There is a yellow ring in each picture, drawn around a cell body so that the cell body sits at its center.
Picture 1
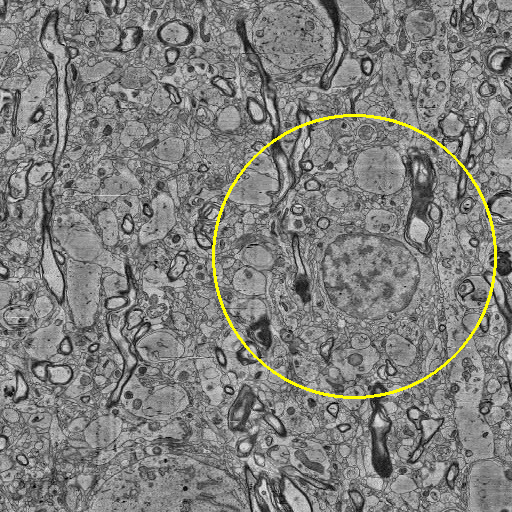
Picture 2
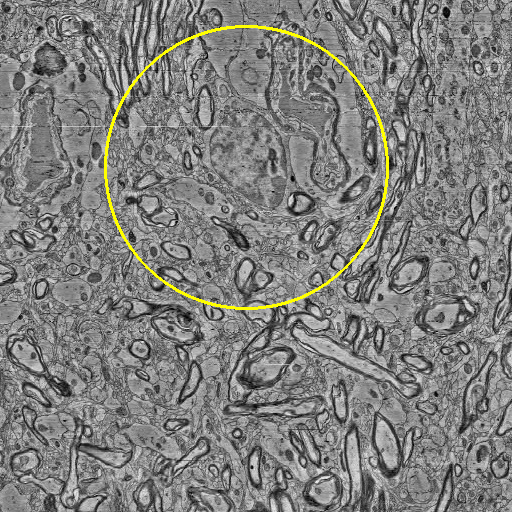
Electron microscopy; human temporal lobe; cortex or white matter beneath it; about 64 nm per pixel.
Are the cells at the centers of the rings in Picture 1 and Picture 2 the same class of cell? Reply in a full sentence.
Yes, the two cells are the same class of cell.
